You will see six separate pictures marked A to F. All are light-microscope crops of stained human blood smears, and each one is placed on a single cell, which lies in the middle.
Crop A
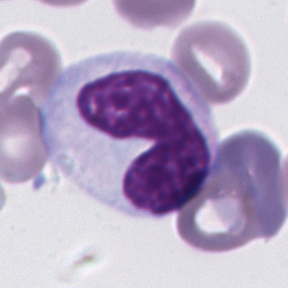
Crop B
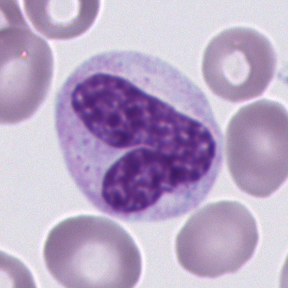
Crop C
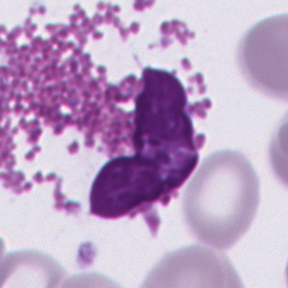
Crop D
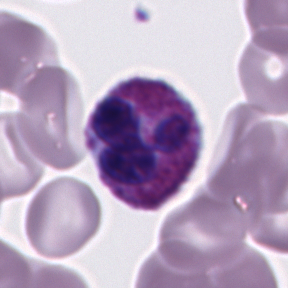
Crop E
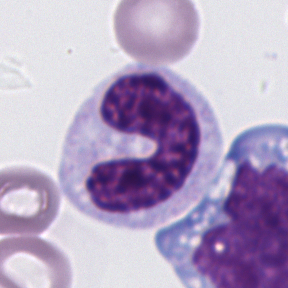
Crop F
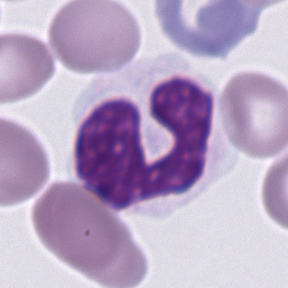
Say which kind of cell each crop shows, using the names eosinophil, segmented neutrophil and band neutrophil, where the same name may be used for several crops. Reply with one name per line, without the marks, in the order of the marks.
band neutrophil
band neutrophil
eosinophil
eosinophil
band neutrophil
band neutrophil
